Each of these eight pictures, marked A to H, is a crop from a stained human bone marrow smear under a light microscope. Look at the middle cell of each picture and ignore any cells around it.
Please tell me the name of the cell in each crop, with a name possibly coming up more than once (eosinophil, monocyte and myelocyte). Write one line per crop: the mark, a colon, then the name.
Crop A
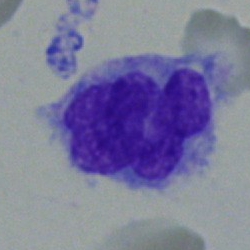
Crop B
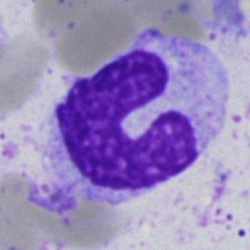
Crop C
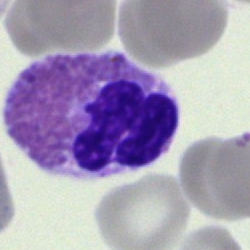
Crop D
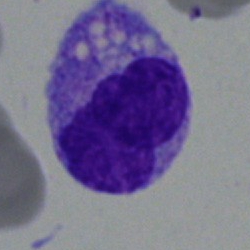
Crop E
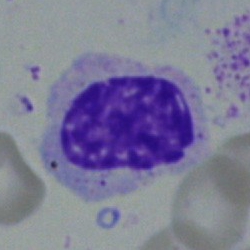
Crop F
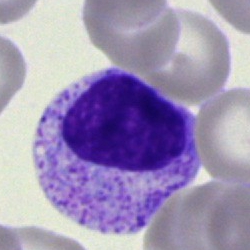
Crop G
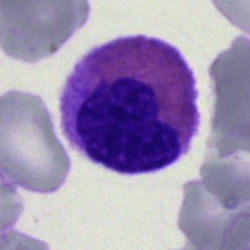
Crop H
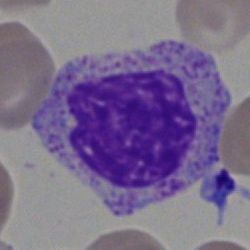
A: monocyte
B: monocyte
C: eosinophil
D: monocyte
E: myelocyte
F: myelocyte
G: eosinophil
H: myelocyte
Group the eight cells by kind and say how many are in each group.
monocyte: 3
myelocyte: 3
eosinophil: 2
